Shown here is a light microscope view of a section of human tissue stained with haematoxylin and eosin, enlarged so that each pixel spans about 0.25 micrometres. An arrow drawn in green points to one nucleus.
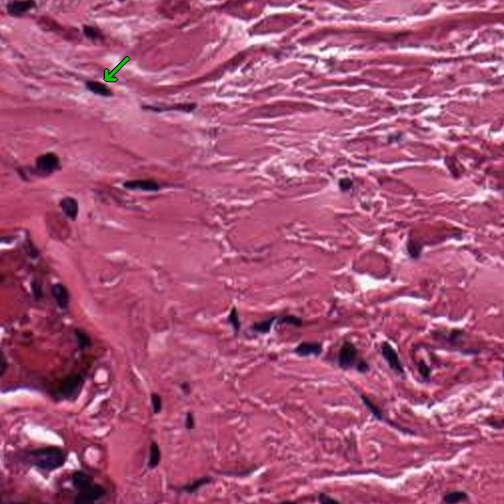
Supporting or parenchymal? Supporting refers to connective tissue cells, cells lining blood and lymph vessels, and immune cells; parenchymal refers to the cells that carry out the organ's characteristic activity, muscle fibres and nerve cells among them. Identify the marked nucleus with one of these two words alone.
supporting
